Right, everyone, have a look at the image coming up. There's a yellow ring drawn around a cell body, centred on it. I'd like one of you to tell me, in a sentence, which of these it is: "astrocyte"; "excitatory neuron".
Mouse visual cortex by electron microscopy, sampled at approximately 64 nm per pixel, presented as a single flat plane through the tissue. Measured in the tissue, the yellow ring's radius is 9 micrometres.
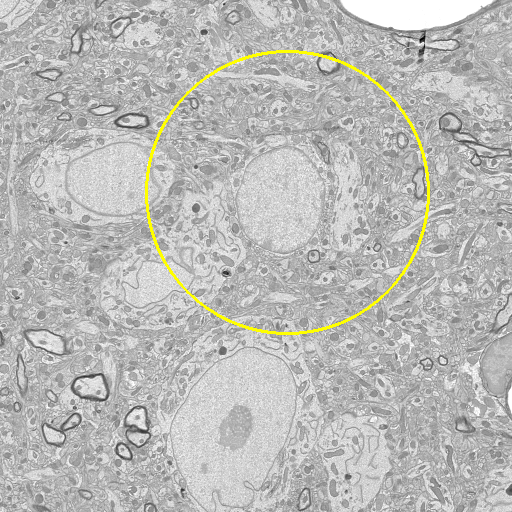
The yellow ring sits on an astrocyte.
